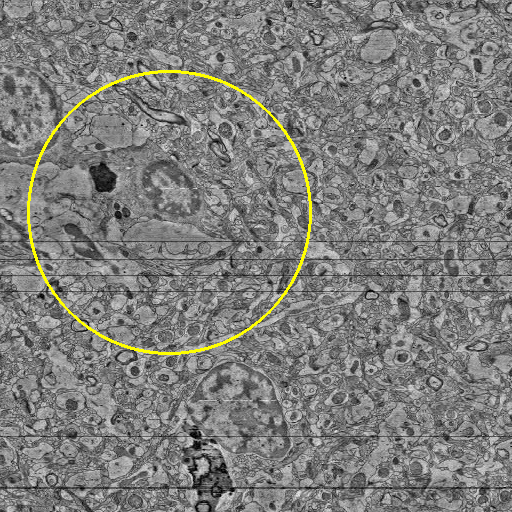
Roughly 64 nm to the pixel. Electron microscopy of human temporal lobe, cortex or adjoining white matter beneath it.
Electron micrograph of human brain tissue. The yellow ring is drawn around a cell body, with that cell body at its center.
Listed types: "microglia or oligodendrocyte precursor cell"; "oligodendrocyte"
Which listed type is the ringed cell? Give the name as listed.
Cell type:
oligodendrocyte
